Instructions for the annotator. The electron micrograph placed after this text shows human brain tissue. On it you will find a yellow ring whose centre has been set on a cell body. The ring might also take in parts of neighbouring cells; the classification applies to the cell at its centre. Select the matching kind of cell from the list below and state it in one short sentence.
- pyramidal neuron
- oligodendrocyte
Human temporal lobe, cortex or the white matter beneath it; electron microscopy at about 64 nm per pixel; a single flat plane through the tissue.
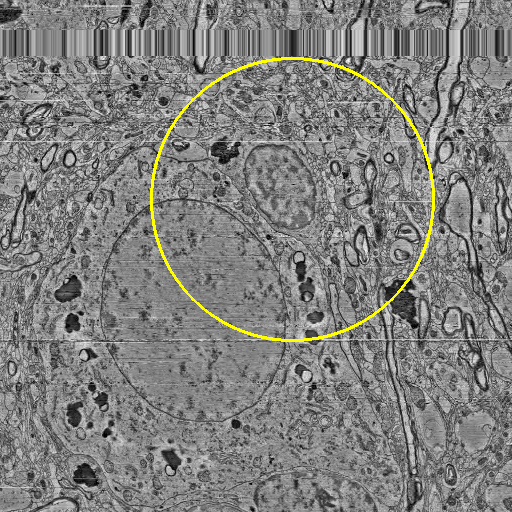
The ring is drawn on the cell body of an oligodendrocyte.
